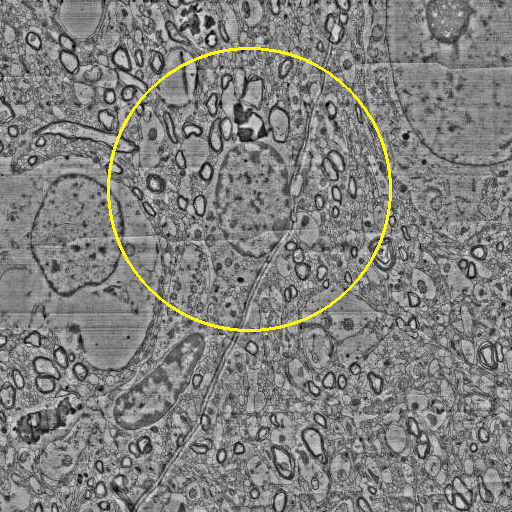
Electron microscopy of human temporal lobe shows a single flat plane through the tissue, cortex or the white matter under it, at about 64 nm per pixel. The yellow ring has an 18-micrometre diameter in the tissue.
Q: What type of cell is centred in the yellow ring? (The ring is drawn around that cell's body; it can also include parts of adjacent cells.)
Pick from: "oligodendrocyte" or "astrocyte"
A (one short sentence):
The yellow ring is centred on an oligodendrocyte.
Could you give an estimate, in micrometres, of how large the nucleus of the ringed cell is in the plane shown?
Roughly 8 micrometres long and 5 micrometres wide; in this plane the nucleus is clearly longer than it is wide.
